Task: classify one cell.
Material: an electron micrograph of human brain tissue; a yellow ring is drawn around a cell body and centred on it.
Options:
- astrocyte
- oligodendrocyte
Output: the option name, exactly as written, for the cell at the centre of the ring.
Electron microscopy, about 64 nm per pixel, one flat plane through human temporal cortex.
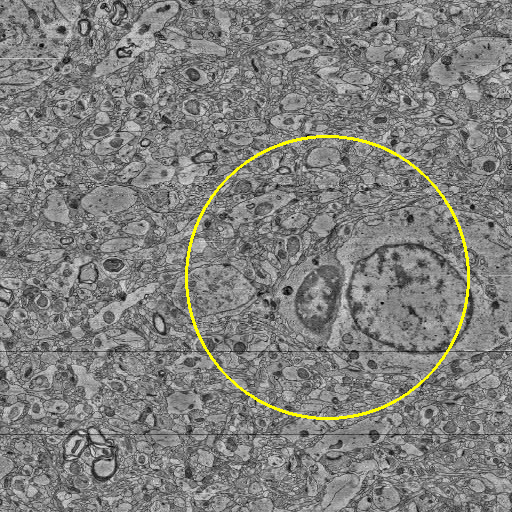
oligodendrocyte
